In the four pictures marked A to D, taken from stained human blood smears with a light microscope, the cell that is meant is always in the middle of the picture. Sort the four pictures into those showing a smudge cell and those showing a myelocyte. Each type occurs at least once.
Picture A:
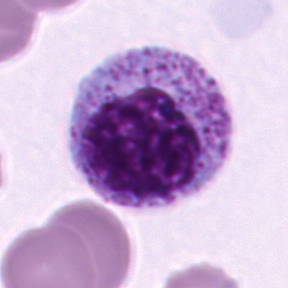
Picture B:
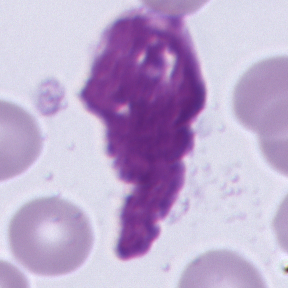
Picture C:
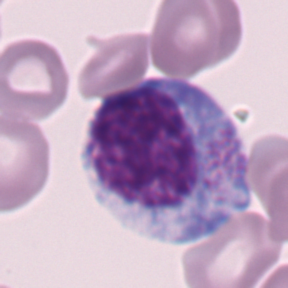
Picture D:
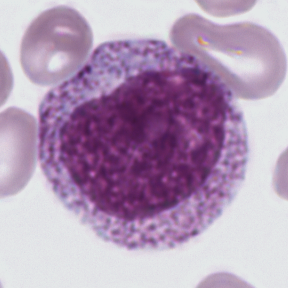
A: myelocyte
B: smudge cell
C: myelocyte
D: myelocyte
